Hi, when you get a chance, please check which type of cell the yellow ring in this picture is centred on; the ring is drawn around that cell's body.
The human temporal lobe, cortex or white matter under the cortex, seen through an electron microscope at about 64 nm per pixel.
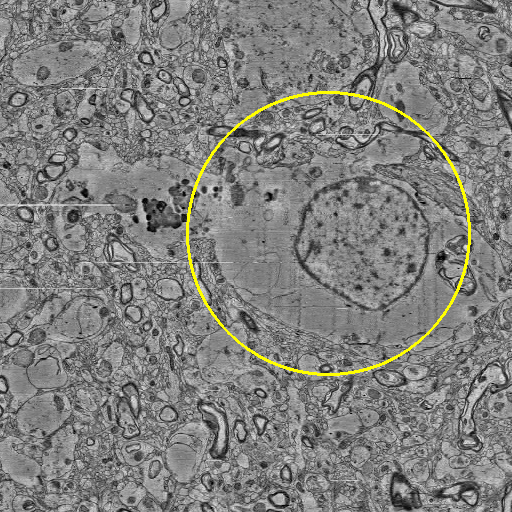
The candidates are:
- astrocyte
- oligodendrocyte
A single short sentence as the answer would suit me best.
The ring is drawn around the body of an astrocyte.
